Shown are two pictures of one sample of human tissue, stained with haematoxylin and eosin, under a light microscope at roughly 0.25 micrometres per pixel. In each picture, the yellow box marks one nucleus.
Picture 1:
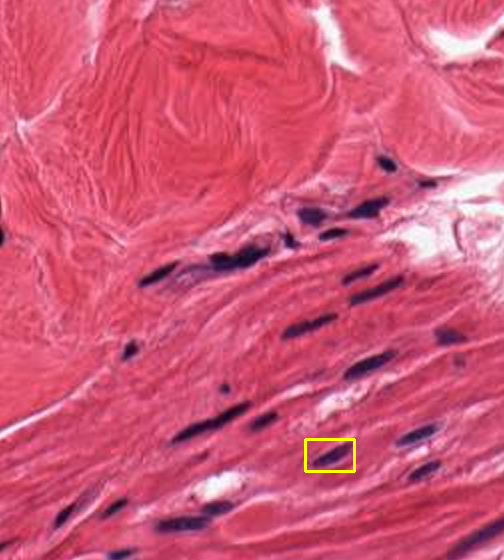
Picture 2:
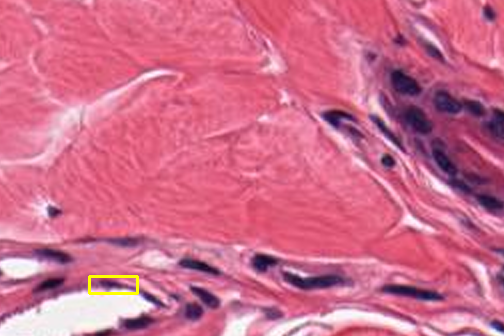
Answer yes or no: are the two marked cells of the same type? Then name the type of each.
No, the first is a smooth muscle cell and the second an endothelial cell.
